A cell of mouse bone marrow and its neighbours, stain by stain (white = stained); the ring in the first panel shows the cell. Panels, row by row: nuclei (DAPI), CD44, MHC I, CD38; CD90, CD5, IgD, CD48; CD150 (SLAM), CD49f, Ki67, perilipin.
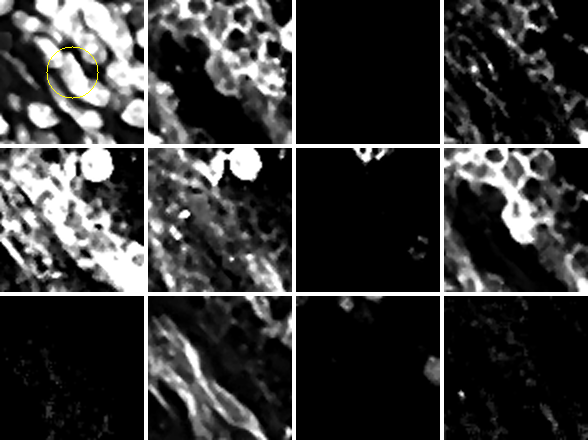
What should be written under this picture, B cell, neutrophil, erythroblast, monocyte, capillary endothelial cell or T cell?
monocyte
